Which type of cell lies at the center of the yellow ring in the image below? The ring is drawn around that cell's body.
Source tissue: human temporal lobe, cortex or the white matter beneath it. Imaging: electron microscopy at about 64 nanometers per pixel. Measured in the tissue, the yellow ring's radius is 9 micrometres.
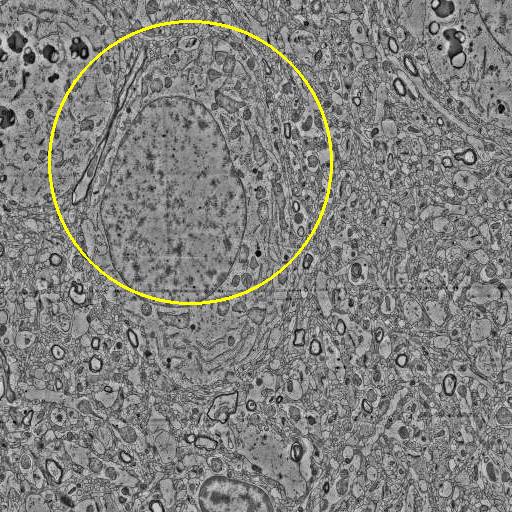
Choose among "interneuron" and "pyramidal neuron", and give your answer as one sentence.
The cell body at the center belongs to an interneuron.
